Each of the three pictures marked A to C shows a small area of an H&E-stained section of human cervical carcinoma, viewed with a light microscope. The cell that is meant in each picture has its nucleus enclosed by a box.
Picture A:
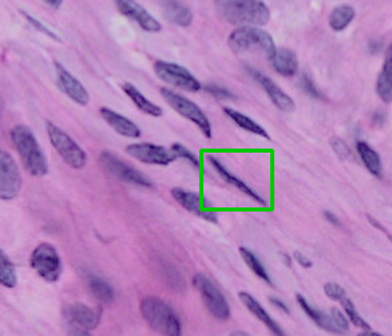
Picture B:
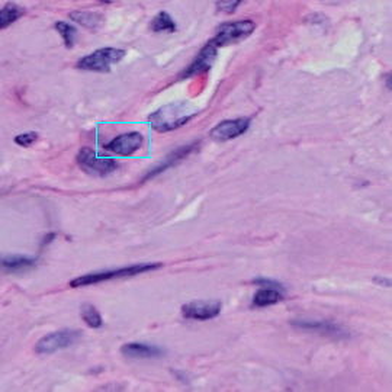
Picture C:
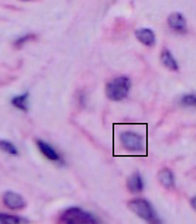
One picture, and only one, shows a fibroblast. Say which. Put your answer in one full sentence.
Picture A shows the fibroblast.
